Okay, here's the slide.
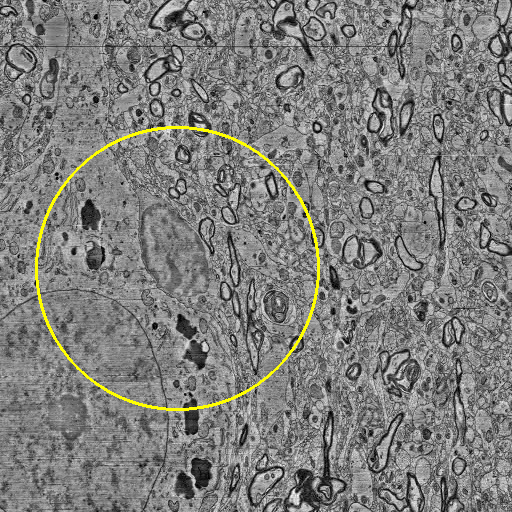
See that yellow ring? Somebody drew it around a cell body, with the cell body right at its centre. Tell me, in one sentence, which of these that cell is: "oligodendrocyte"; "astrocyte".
The cell in the middle of the ring is an oligodendrocyte.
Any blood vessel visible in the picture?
No, the picture includes no blood vessel.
